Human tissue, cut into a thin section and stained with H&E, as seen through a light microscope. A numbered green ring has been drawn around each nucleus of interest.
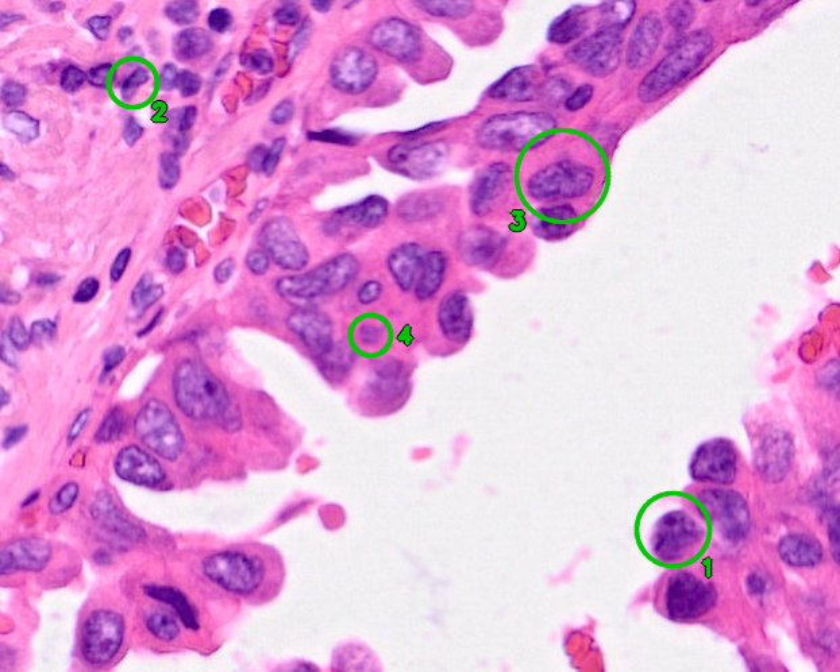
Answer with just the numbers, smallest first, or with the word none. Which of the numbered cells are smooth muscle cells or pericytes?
none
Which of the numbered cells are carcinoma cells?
1, 3, 4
